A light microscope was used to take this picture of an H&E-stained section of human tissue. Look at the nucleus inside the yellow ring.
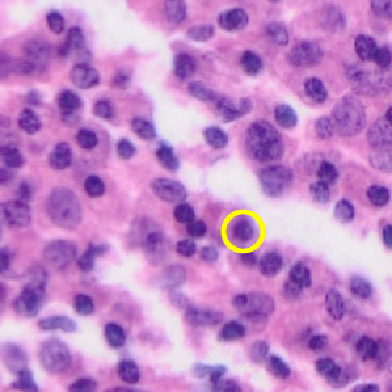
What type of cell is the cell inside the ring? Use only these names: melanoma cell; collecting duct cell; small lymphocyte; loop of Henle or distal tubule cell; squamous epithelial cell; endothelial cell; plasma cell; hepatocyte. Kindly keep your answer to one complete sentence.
The cell type of the cell inside the ring is that of a plasma cell.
